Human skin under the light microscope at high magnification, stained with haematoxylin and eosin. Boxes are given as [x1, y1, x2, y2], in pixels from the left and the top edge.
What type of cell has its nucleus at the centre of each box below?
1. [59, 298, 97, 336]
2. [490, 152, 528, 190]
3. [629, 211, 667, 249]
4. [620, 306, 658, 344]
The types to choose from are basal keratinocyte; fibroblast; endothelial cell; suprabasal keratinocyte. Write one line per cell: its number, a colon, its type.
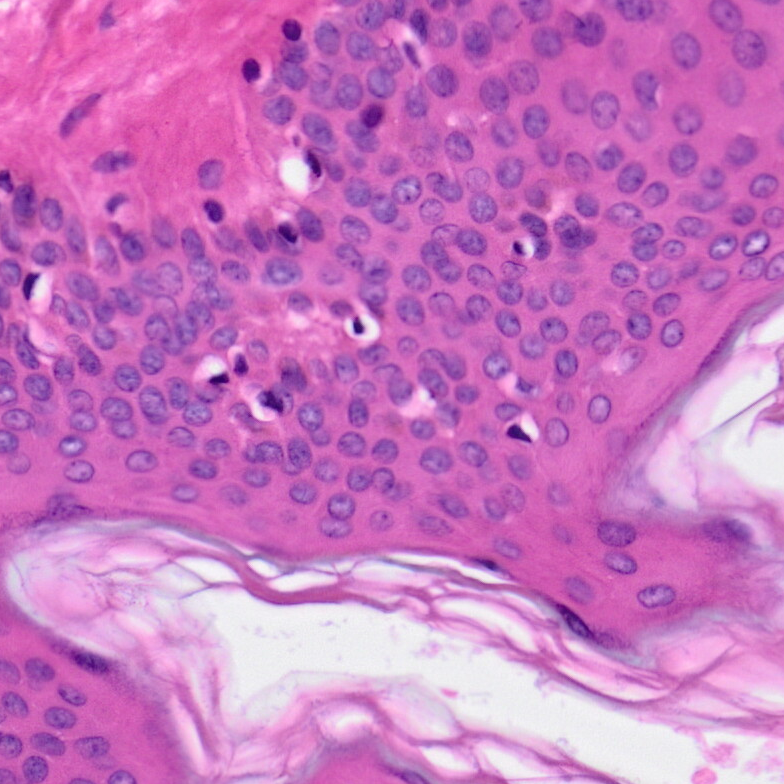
1: basal keratinocyte
2: suprabasal keratinocyte
3: suprabasal keratinocyte
4: suprabasal keratinocyte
